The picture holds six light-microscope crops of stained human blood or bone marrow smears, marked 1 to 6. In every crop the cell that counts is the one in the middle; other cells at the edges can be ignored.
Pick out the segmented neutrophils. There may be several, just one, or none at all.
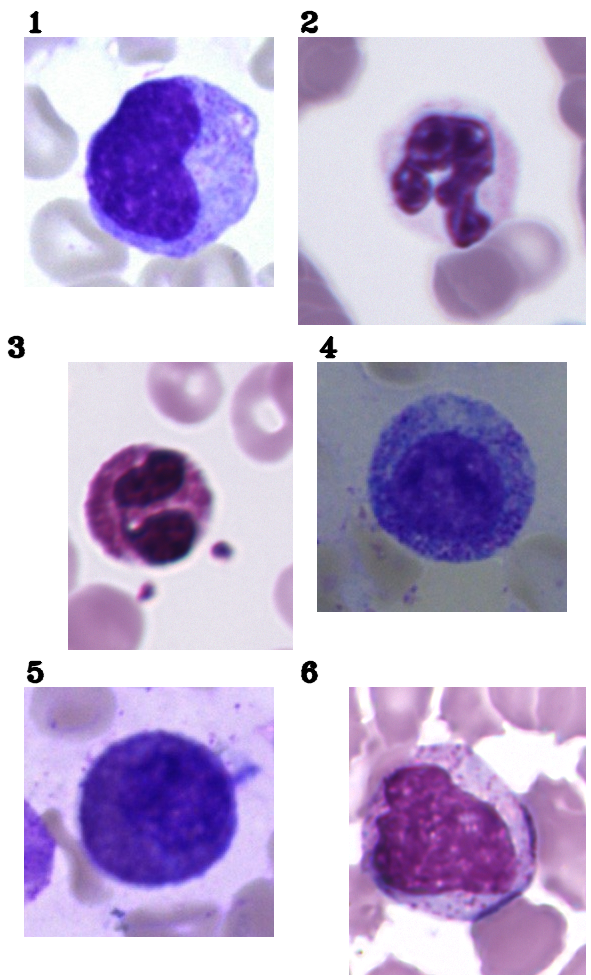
2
